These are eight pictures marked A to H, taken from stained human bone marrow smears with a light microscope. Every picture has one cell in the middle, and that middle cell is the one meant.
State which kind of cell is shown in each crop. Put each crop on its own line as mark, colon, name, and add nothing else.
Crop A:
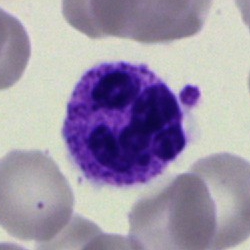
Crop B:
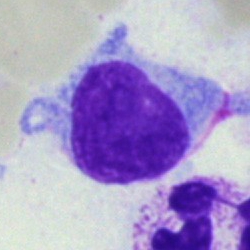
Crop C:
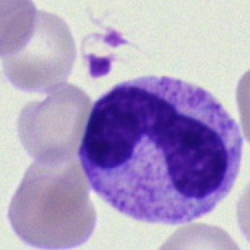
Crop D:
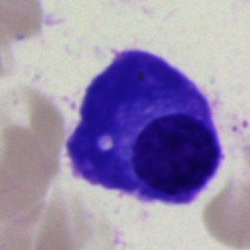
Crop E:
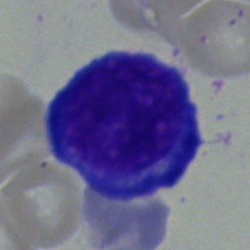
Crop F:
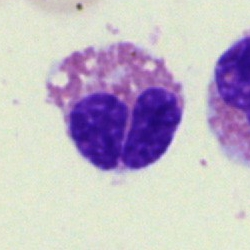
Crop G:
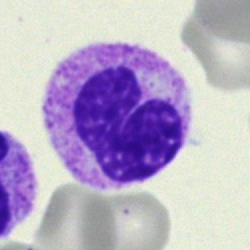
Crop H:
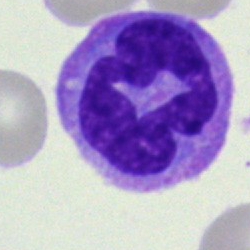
A: segmented neutrophil
B: hairy cell
C: band neutrophil
D: plasma cell
E: proerythroblast
F: basophil
G: band neutrophil
H: monocyte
